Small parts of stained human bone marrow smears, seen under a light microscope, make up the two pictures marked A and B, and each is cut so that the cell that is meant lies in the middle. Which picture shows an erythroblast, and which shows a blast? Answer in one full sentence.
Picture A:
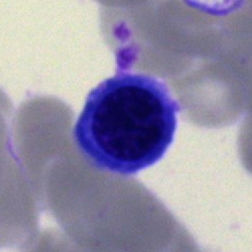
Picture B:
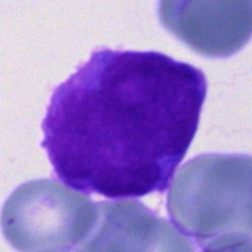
Picture A shows an erythroblast and picture B shows a blast.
